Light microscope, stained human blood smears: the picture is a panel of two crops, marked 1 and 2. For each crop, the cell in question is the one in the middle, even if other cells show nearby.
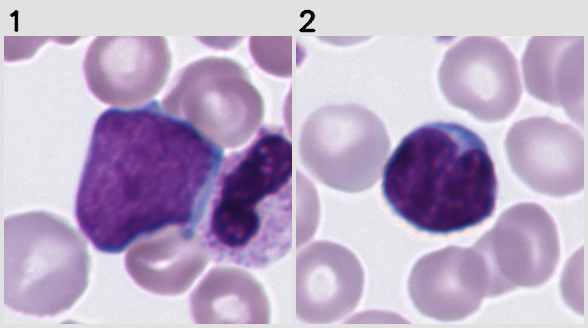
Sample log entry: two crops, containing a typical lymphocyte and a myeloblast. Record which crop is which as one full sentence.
Crop 2 is a typical lymphocyte, while crop 1 is a myeloblast.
